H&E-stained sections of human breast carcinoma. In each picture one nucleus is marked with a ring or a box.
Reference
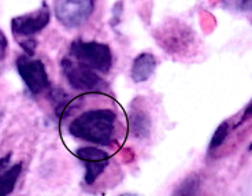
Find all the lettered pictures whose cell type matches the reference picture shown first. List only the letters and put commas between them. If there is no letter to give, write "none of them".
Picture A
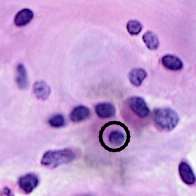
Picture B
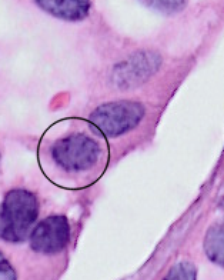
B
